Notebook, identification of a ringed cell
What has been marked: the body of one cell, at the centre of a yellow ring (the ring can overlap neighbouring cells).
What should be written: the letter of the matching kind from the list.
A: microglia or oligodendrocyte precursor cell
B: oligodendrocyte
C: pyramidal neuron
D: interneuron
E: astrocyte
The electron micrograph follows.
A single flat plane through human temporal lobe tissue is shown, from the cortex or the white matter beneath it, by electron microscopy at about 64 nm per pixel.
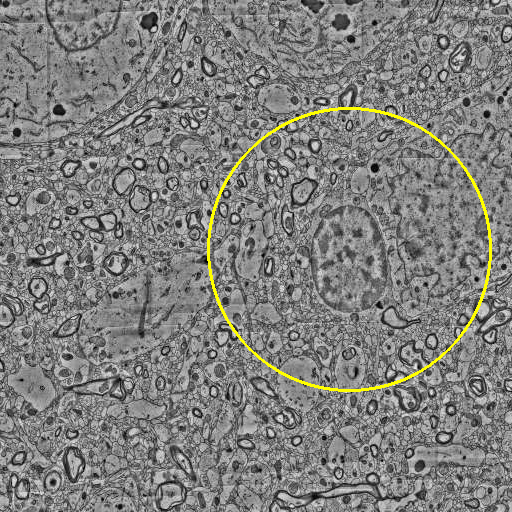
B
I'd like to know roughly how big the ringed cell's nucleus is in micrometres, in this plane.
The ringed cell's nucleus measures approximately 7 by 5 micrometres in this plane.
